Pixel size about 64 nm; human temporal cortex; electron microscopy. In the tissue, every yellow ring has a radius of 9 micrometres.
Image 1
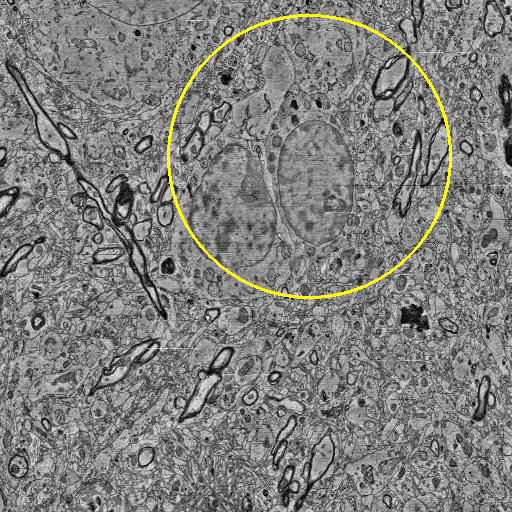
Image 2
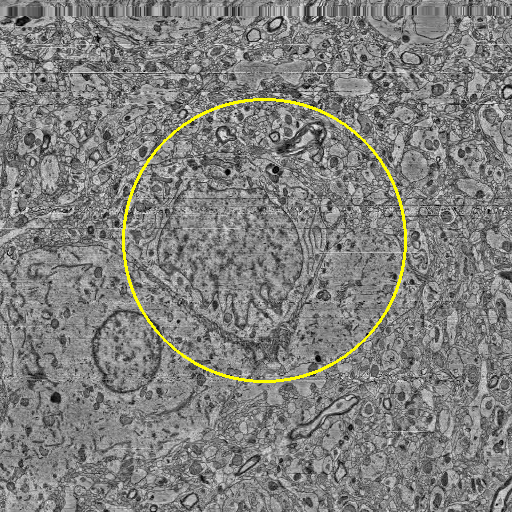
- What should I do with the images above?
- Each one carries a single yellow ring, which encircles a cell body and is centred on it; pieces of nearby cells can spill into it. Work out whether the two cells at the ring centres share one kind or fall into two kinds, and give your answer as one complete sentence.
The ring-centre cells of Image 1 and Image 2 fall into two kinds.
